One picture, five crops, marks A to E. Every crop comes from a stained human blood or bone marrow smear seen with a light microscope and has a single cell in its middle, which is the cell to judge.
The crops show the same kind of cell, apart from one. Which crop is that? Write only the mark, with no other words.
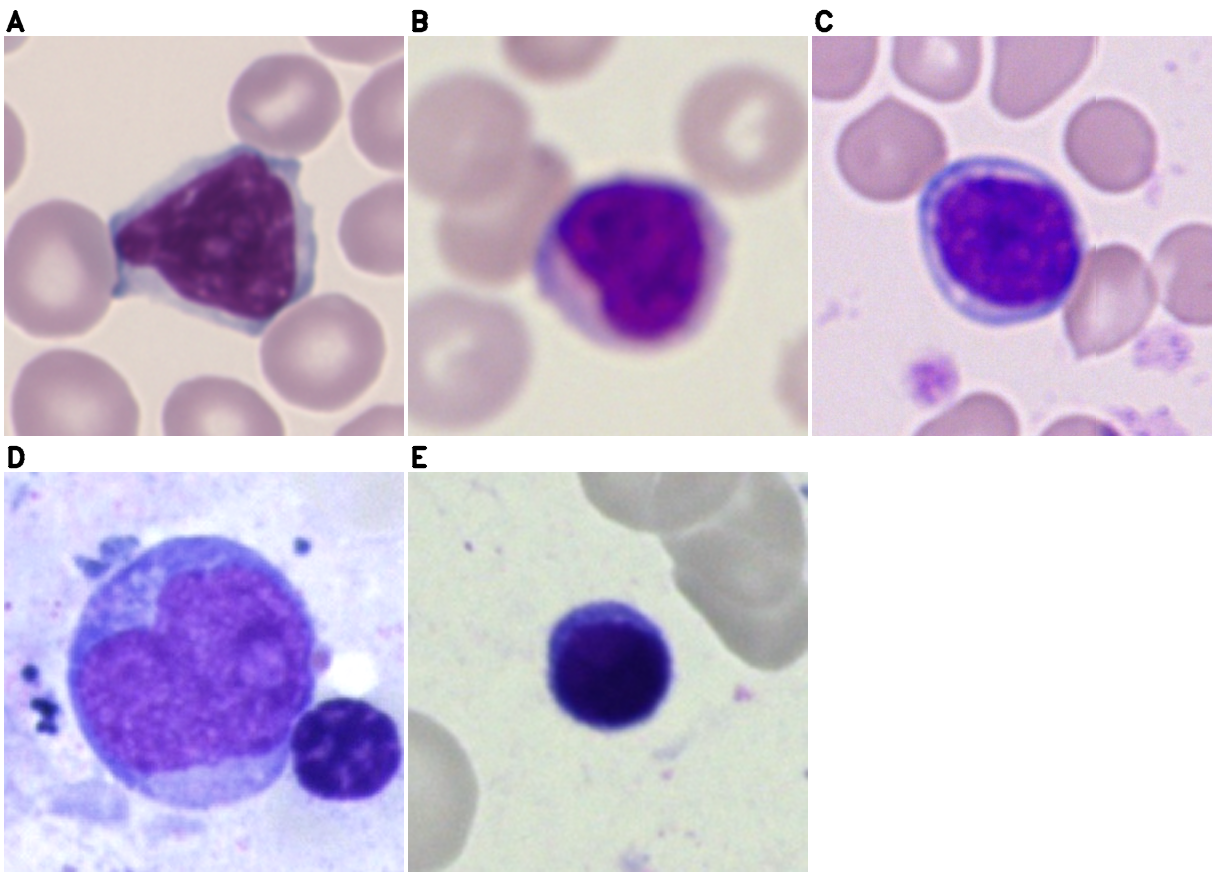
D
